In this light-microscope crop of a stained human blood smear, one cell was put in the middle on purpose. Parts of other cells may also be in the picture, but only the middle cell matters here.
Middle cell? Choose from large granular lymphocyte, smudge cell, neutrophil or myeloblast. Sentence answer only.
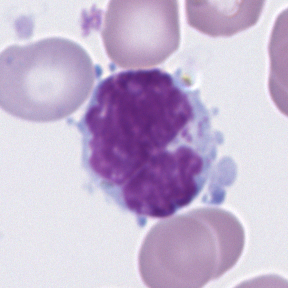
The middle cell in this particular crop is a large granular lymphocyte.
